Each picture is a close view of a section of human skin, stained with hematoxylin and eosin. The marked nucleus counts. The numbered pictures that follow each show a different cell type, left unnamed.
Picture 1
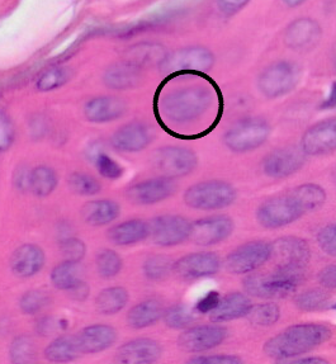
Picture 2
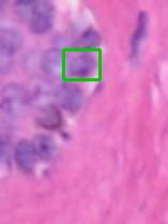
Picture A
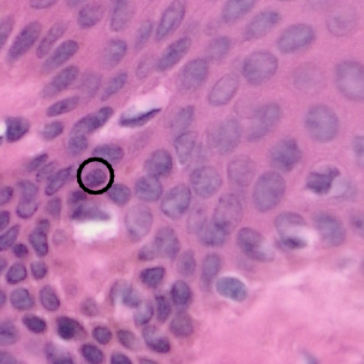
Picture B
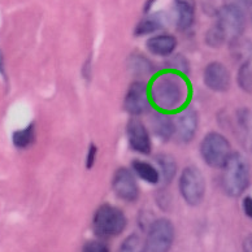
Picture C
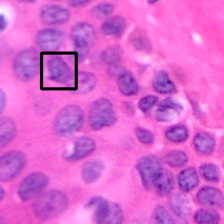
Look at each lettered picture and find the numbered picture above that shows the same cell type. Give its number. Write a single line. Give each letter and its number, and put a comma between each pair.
A 2, B 2, C 1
